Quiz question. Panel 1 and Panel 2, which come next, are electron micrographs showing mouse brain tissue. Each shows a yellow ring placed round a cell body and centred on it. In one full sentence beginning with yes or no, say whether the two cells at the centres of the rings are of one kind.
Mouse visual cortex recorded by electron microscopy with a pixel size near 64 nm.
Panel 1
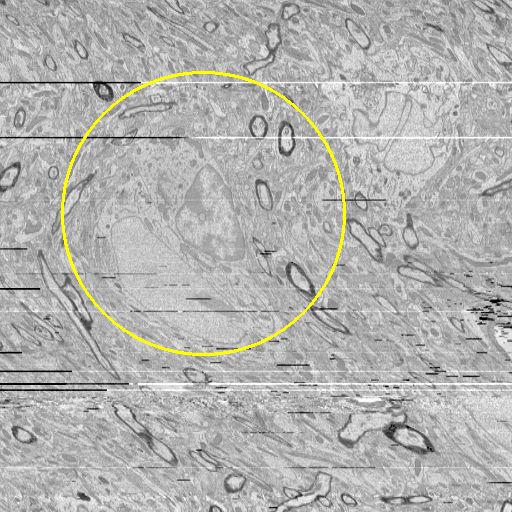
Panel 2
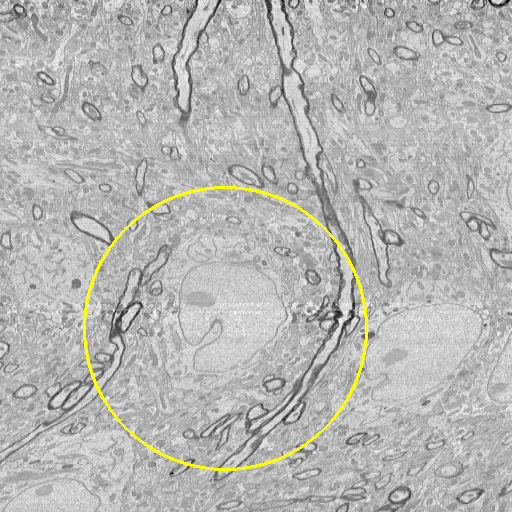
No, Panel 1 and Panel 2 show two kinds of cell at the centre of the ring.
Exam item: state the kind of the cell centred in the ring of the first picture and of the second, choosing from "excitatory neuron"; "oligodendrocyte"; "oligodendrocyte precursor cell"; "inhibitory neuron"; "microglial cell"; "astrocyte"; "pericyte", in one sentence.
The first picture shows an oligodendrocyte at the ring centre and the second shows an excitatory neuron.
